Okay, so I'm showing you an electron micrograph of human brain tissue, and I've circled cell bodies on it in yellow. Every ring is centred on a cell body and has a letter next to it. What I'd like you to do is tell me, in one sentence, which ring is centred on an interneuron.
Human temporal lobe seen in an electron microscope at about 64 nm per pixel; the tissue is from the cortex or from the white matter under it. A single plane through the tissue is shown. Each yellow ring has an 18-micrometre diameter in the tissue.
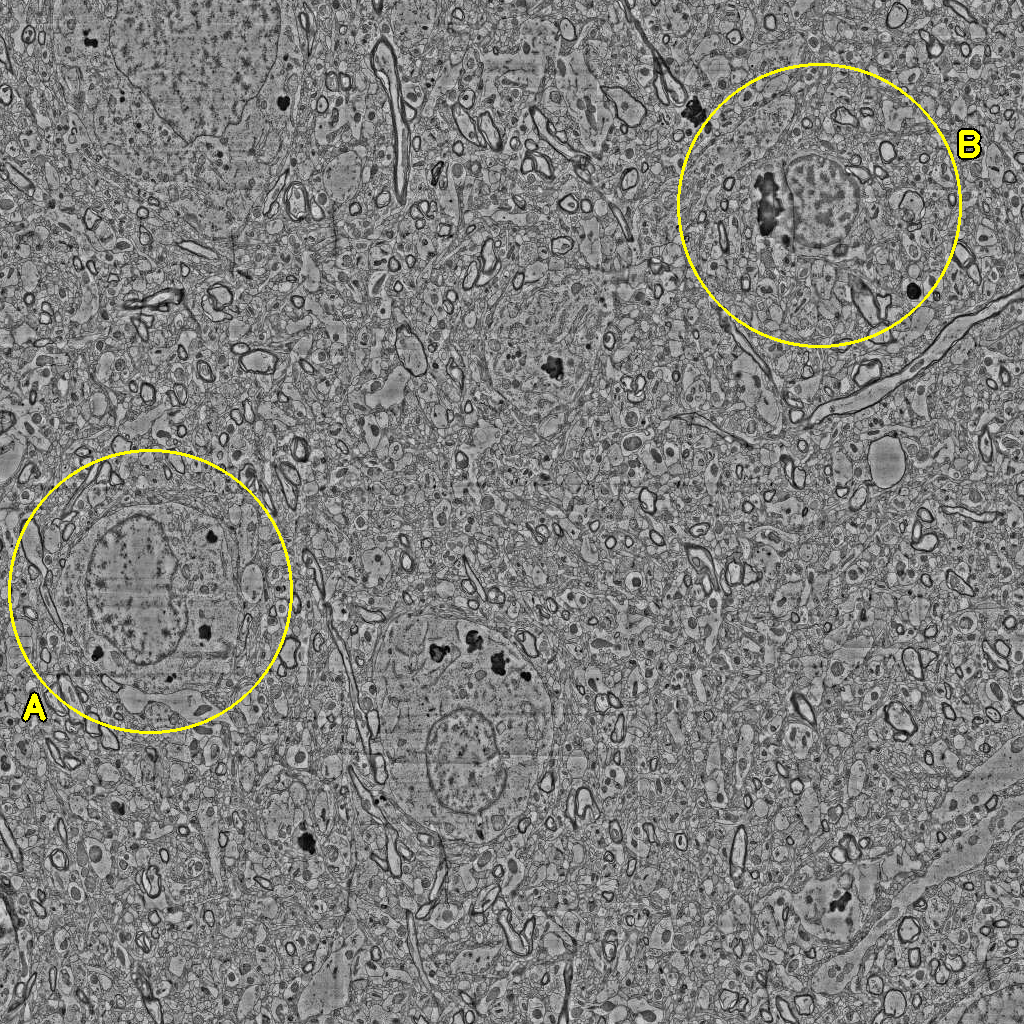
It's ring A.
